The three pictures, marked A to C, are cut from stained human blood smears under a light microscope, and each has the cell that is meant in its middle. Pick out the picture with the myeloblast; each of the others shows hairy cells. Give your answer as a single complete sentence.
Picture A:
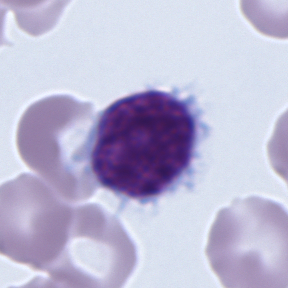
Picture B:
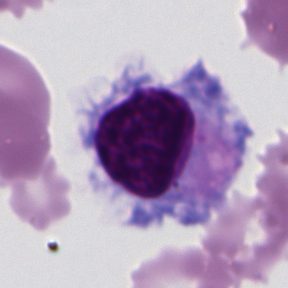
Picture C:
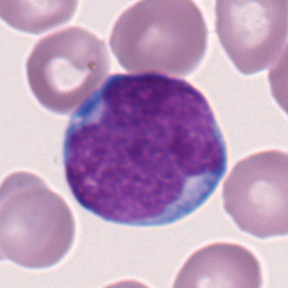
The cell in picture C is the myeloblast.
